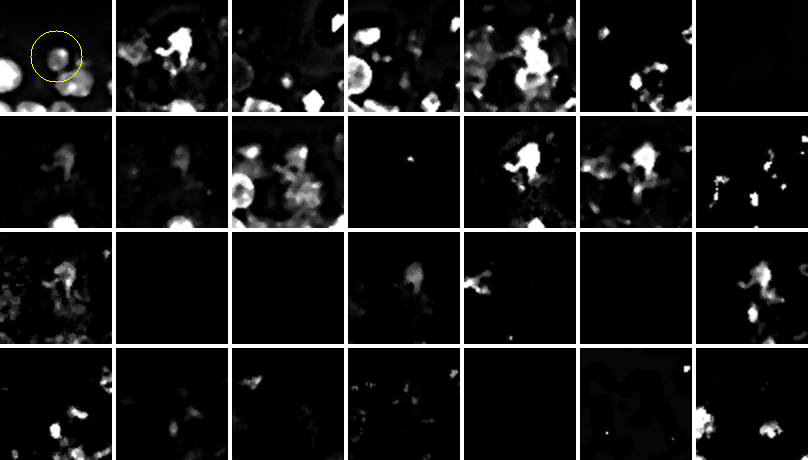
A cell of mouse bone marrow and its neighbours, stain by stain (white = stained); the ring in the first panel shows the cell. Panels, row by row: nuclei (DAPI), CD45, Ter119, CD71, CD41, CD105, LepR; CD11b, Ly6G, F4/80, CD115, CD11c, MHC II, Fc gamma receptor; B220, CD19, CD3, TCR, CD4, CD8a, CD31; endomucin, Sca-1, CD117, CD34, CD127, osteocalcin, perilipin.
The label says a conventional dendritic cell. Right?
Right.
